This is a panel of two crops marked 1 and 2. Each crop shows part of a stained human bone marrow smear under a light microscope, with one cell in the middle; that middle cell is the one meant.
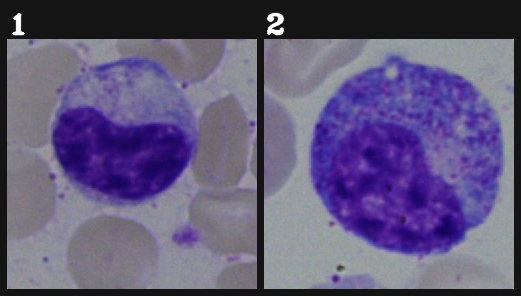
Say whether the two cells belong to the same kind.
yes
